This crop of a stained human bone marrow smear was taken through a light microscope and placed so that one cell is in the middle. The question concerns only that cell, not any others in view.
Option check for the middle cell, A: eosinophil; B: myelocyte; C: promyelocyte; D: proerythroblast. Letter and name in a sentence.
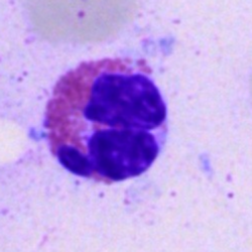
With the cell in the middle being an eosinophil, option A is the correct choice.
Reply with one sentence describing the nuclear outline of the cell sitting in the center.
The nucleus here is split into two or more lobes, not one.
